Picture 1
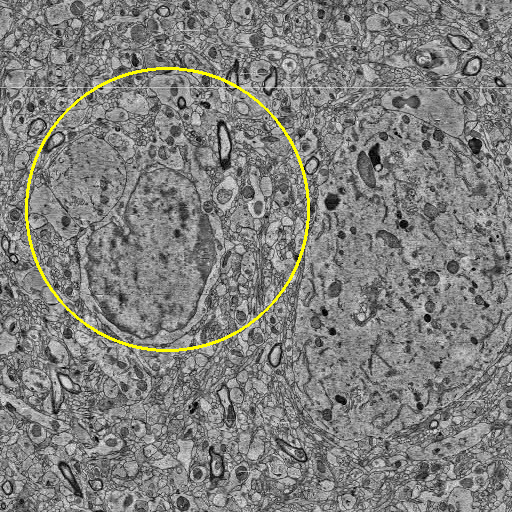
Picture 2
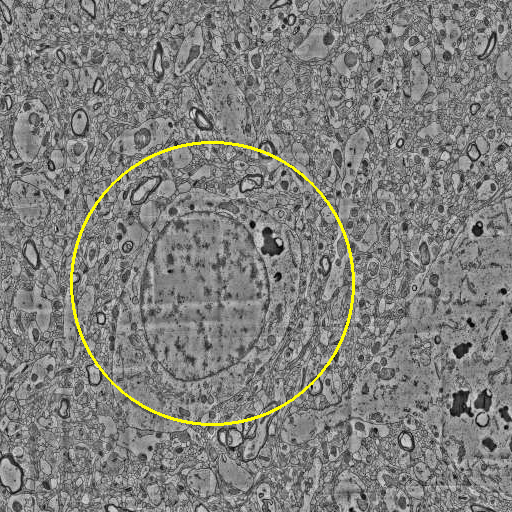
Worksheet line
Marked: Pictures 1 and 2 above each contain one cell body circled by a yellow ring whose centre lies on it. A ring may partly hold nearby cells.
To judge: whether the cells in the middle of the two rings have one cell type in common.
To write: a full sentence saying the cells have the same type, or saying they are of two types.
The cells in the middle of the rings in Picture 1 and Picture 2 have the same type.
